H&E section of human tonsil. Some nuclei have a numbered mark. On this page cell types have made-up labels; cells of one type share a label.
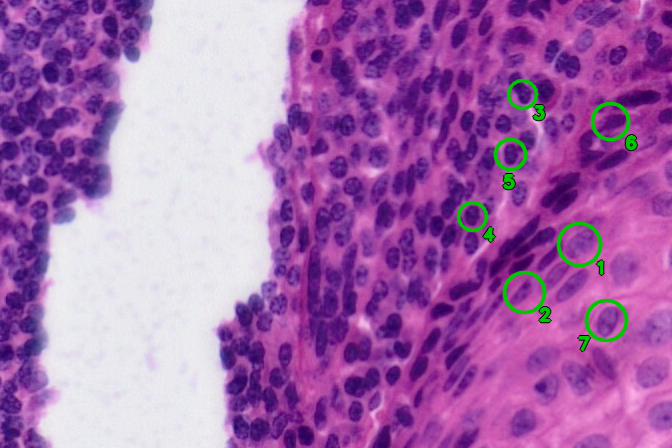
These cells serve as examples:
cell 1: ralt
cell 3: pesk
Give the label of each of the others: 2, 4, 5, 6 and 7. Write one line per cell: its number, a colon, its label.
2: ralt
4: pesk
5: pesk
6: ralt
7: ralt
